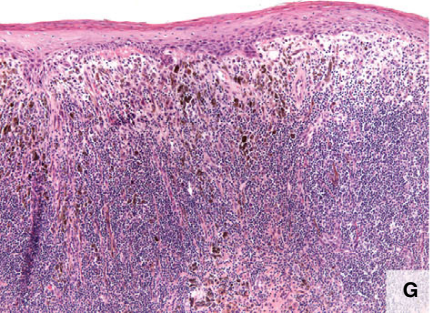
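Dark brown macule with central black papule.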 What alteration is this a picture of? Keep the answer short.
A: heavy, brisk lymphocytic host response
